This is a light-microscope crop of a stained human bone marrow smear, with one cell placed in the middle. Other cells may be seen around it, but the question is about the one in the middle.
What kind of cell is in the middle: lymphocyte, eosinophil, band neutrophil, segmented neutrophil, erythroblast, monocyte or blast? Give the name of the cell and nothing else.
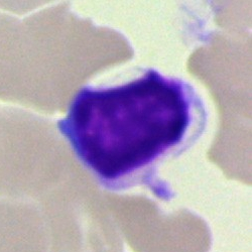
lymphocyte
